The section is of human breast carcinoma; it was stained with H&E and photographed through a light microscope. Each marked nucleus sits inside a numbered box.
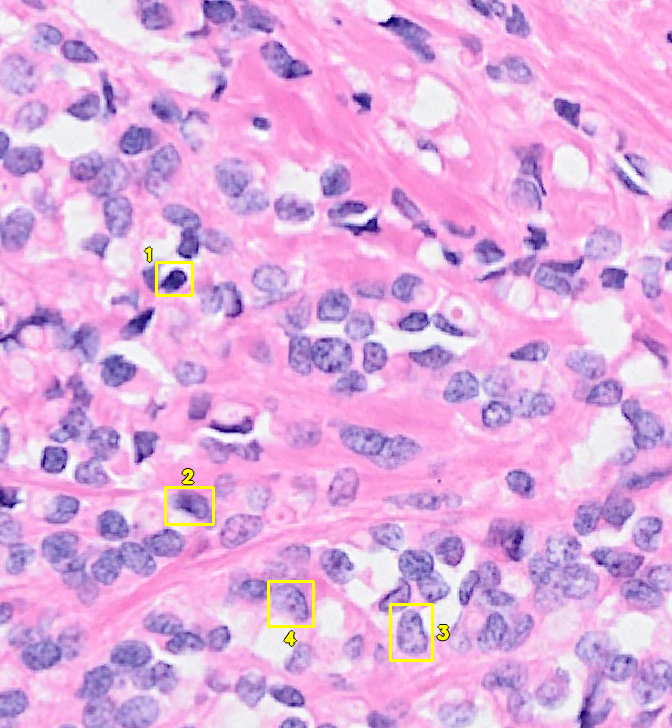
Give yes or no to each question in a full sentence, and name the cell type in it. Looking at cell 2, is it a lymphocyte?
No, number 2 is not a lymphocyte but a carcinoma cell.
